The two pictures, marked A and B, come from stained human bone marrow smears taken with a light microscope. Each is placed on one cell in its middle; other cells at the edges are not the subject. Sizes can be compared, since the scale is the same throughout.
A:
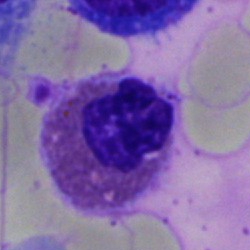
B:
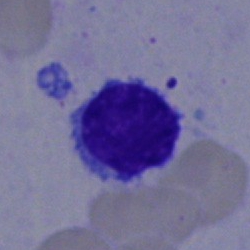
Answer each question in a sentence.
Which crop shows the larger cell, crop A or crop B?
Larger is the cell in crop A, at roughly 2 times the area of the other.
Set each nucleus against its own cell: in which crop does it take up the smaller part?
In crop A the nucleus takes up the smaller part of its cell.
